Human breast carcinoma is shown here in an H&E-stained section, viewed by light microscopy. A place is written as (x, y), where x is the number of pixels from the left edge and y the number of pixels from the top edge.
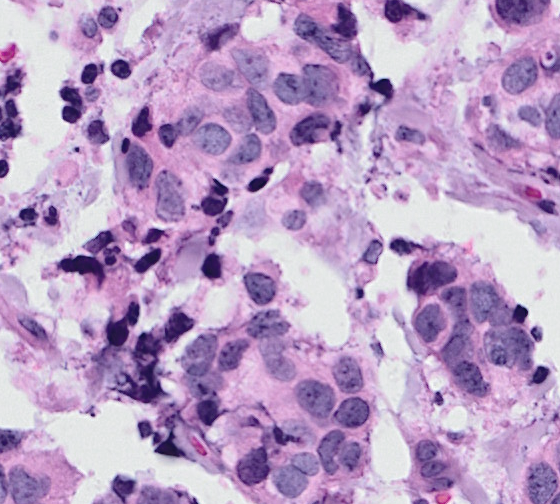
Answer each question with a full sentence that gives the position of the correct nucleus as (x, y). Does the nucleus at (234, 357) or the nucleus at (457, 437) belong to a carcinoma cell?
The nucleus at (234, 357) is contained in a carcinoma cell.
